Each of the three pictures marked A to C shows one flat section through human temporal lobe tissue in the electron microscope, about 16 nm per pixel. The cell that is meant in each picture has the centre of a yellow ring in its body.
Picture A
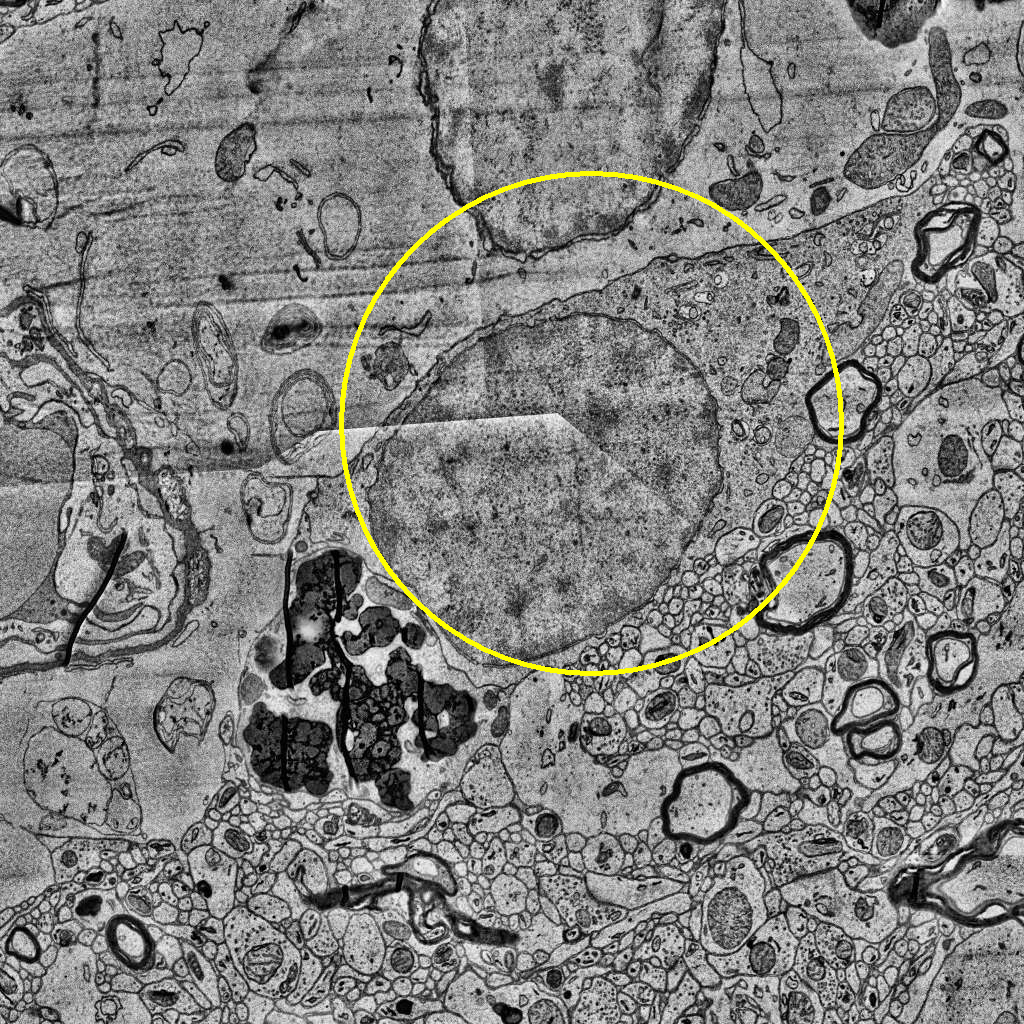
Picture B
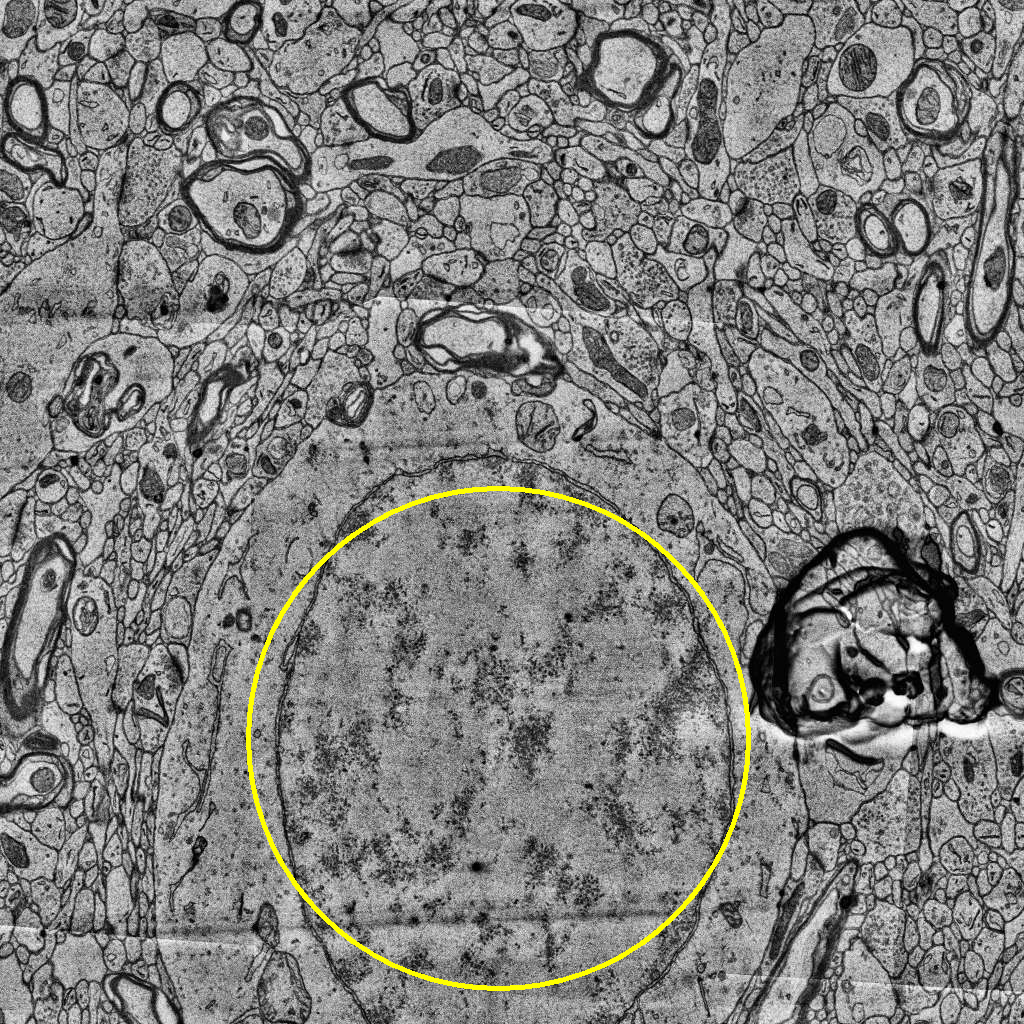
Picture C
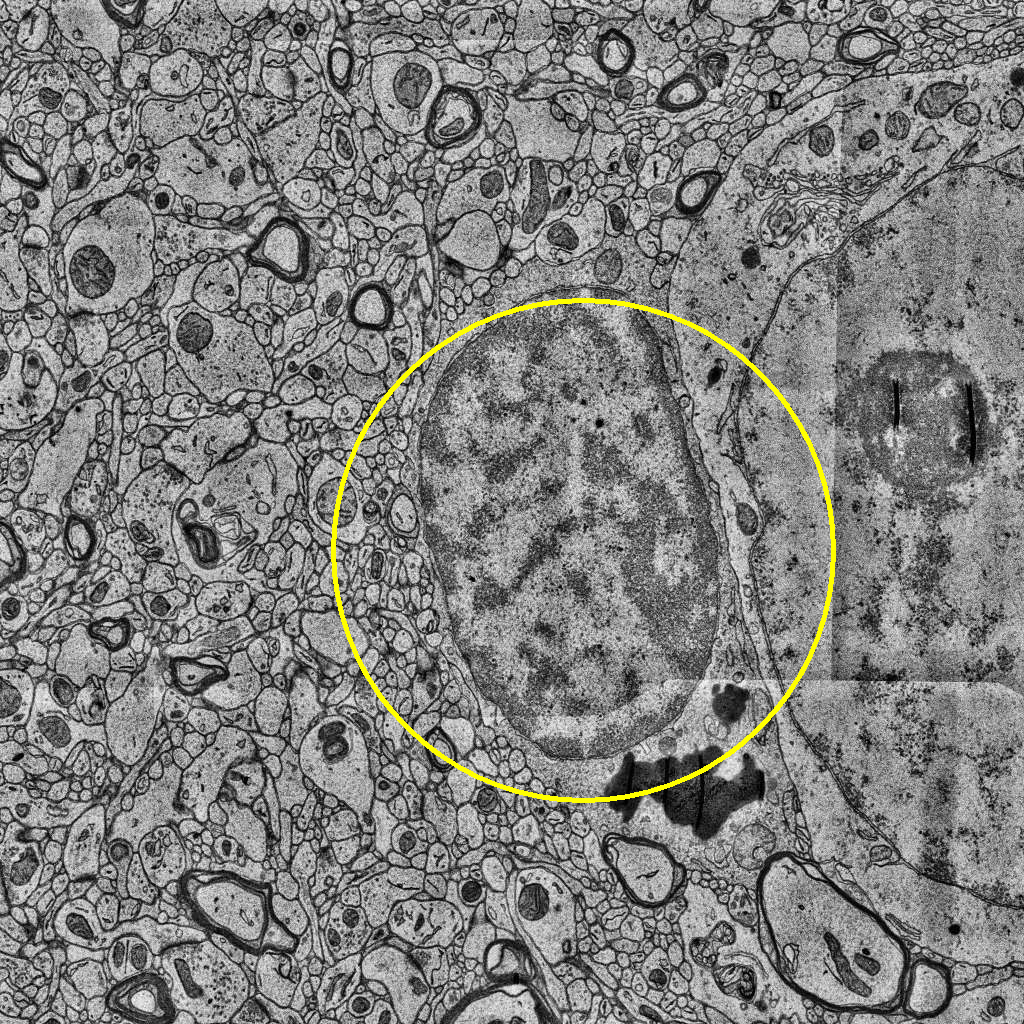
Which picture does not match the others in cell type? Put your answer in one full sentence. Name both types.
Picture B is the odd one out: it shows a pyramidal neuron, while the others show oligodendrocytes.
